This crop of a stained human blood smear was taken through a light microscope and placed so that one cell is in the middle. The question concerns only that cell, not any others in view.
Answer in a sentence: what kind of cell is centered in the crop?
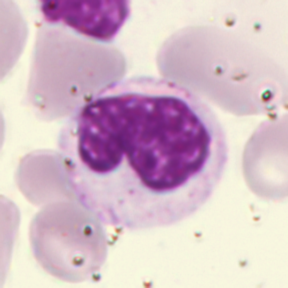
Classified as a band neutrophil is the cell in the middle of this crop.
